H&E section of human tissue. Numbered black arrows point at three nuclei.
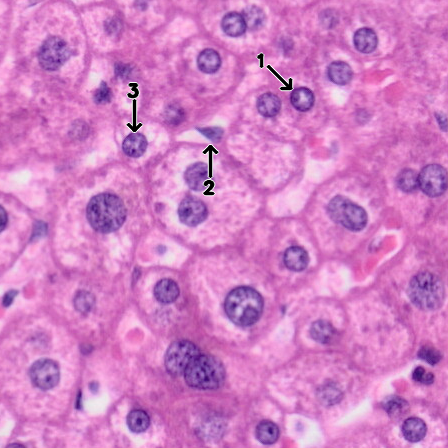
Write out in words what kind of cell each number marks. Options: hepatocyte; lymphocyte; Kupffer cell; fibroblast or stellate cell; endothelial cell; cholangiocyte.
Cell 1 is a hepatocyte, cell 2 is an endothelial cell and cell 3 is a hepatocyte.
